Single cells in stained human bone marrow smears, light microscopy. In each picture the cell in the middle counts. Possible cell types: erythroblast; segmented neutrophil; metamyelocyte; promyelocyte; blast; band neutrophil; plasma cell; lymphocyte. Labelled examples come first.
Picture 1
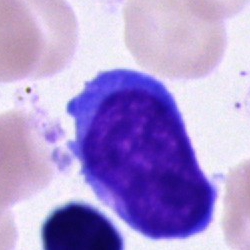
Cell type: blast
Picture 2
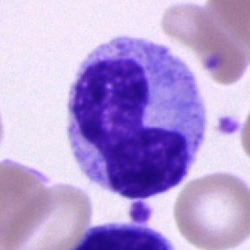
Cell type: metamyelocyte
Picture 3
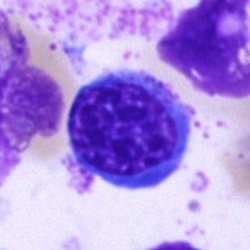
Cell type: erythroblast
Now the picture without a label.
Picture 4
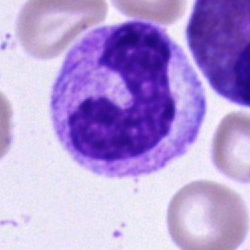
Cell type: band neutrophil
